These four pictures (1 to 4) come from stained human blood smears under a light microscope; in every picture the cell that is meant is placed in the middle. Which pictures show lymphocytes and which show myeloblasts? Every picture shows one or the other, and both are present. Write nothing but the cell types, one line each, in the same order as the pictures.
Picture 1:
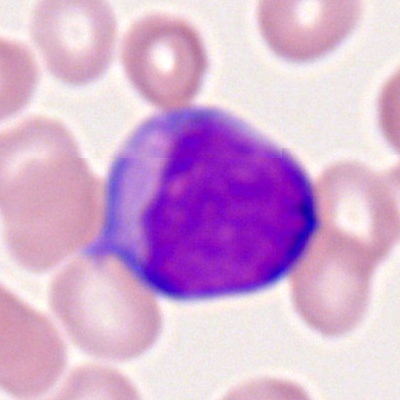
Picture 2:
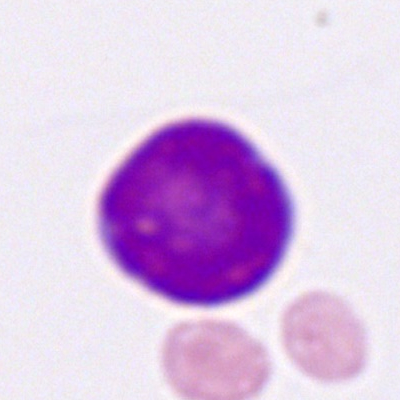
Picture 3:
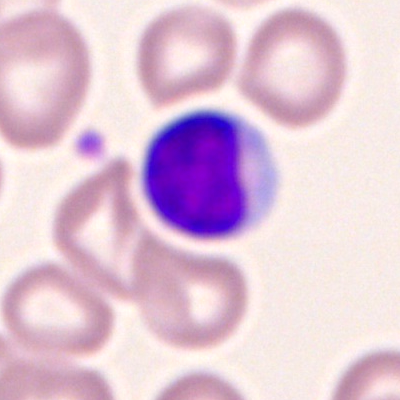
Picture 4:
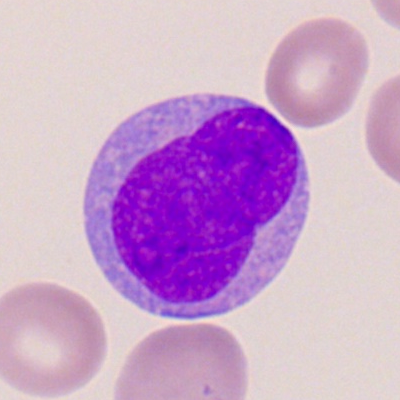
myeloblast
myeloblast
lymphocyte
myeloblast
